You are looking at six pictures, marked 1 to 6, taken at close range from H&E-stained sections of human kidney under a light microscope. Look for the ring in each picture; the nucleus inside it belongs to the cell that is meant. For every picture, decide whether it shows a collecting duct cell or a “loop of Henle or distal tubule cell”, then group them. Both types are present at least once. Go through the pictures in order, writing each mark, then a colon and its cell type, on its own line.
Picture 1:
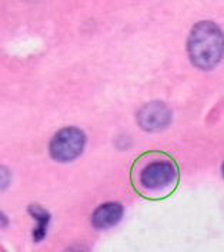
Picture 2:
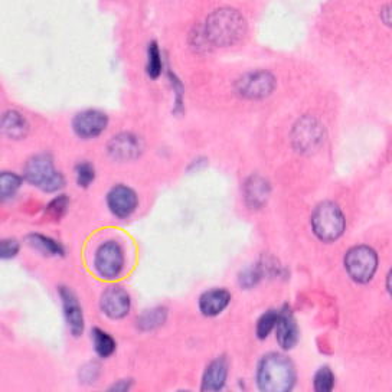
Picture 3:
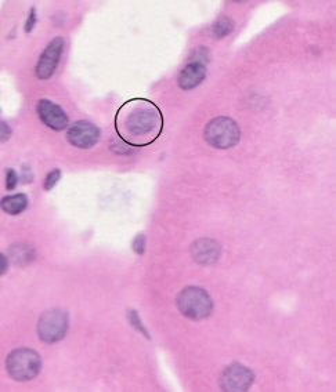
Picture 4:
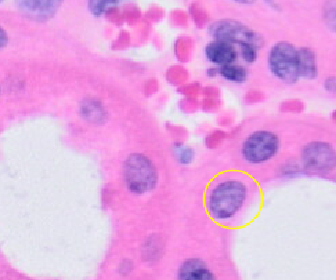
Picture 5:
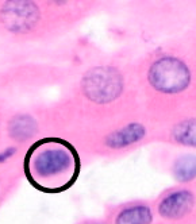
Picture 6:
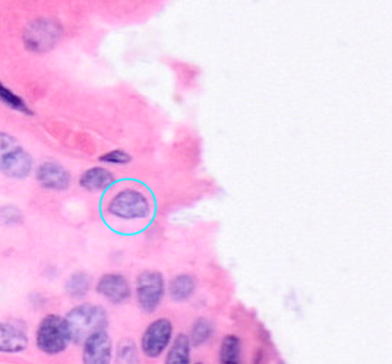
1: loop of Henle or distal tubule cell
2: loop of Henle or distal tubule cell
3: collecting duct cell
4: loop of Henle or distal tubule cell
5: loop of Henle or distal tubule cell
6: collecting duct cell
